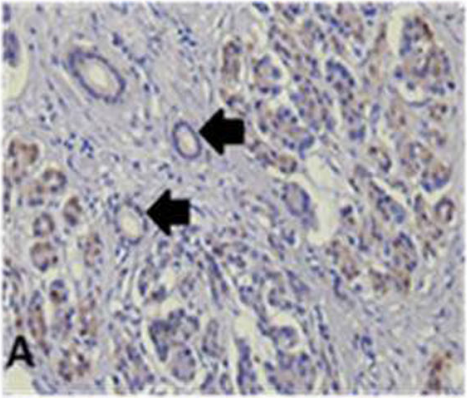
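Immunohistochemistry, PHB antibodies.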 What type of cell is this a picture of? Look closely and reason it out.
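Most of the field is filled with small rounded clusters of cells grouped into lobules. The cells of these clusters have faintly brownish granular cytoplasm around basal nuclei. That points to this answer: acinar cells.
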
